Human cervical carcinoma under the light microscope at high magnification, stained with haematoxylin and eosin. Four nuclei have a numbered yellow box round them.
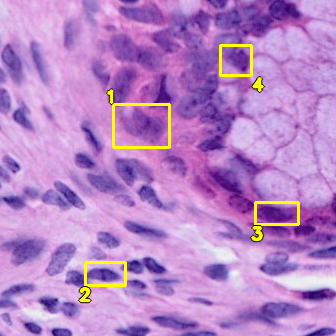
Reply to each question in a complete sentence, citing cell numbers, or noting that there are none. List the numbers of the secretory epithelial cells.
The cells which carry the numbers 1, 3 and 4 are secretory epithelial cells.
